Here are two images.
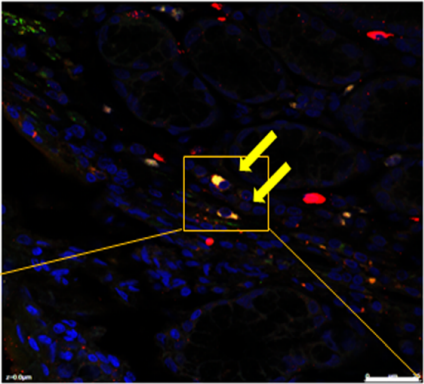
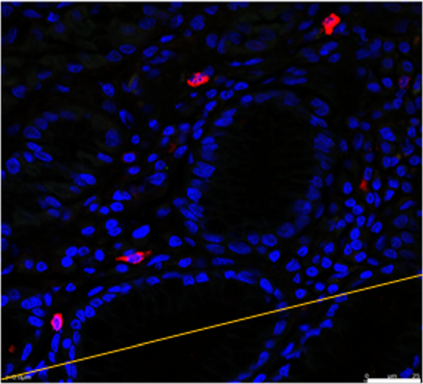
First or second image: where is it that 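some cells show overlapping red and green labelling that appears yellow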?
The first image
